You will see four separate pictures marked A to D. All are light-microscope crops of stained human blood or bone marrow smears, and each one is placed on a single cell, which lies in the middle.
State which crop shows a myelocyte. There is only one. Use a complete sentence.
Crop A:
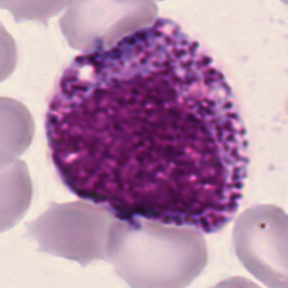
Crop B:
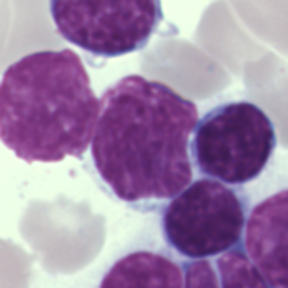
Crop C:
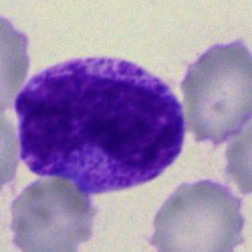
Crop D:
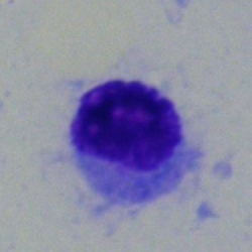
The one crop in the set with a myelocyte is crop C.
